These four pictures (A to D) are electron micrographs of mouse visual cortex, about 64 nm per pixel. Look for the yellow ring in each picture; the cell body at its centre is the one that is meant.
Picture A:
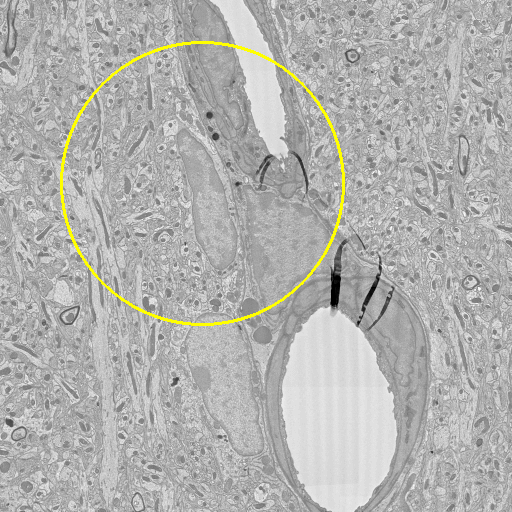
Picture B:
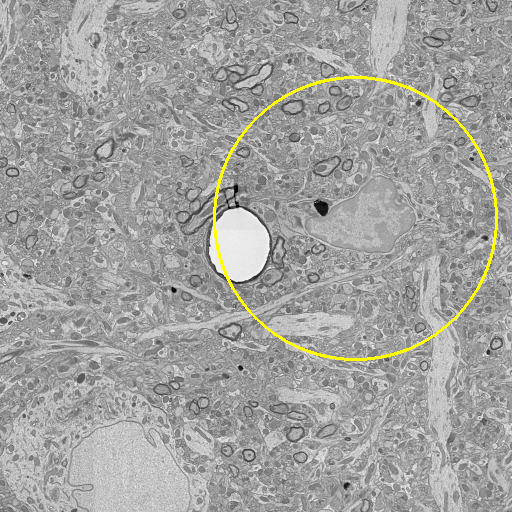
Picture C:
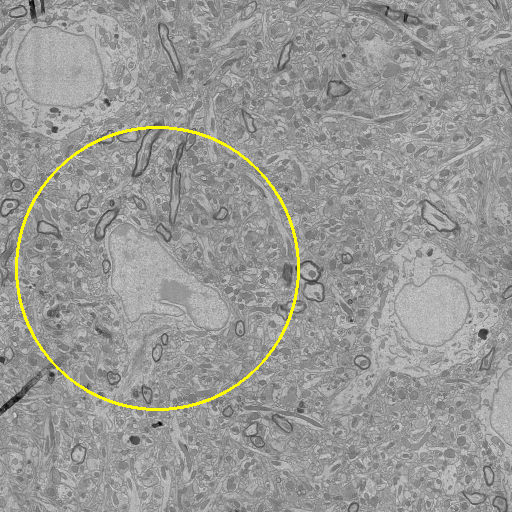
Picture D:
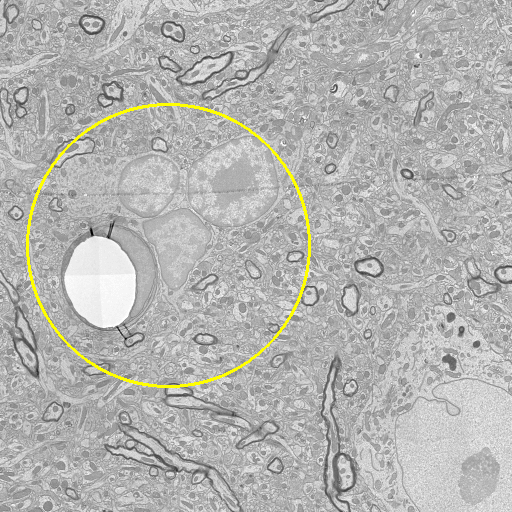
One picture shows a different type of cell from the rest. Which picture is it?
Unlike the rest, which show microglial cells, picture C shows an oligodendrocyte precursor cell.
